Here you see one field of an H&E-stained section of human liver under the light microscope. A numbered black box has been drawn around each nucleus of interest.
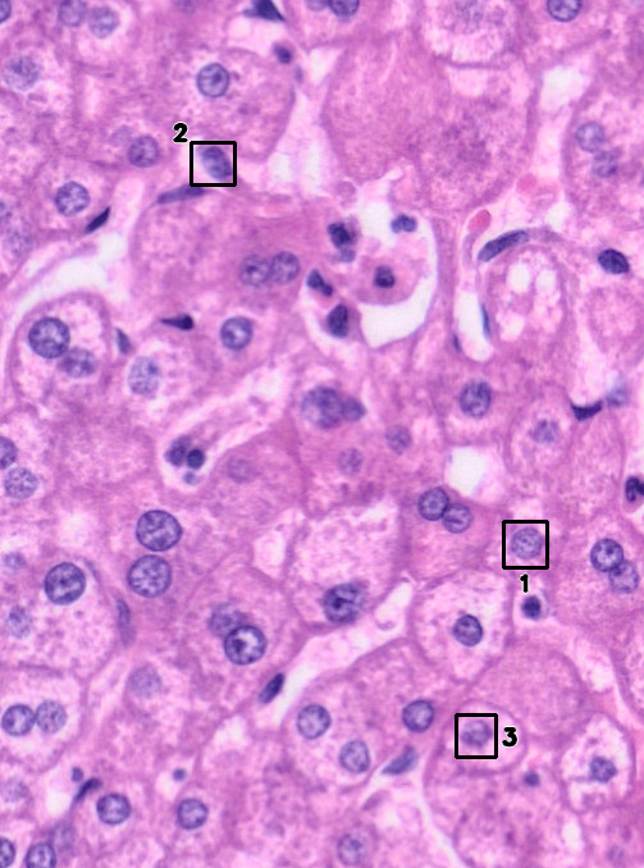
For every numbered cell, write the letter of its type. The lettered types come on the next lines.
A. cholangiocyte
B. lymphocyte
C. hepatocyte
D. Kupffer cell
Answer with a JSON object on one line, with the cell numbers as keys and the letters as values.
{"1": "C", "2": "D", "3": "C"}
